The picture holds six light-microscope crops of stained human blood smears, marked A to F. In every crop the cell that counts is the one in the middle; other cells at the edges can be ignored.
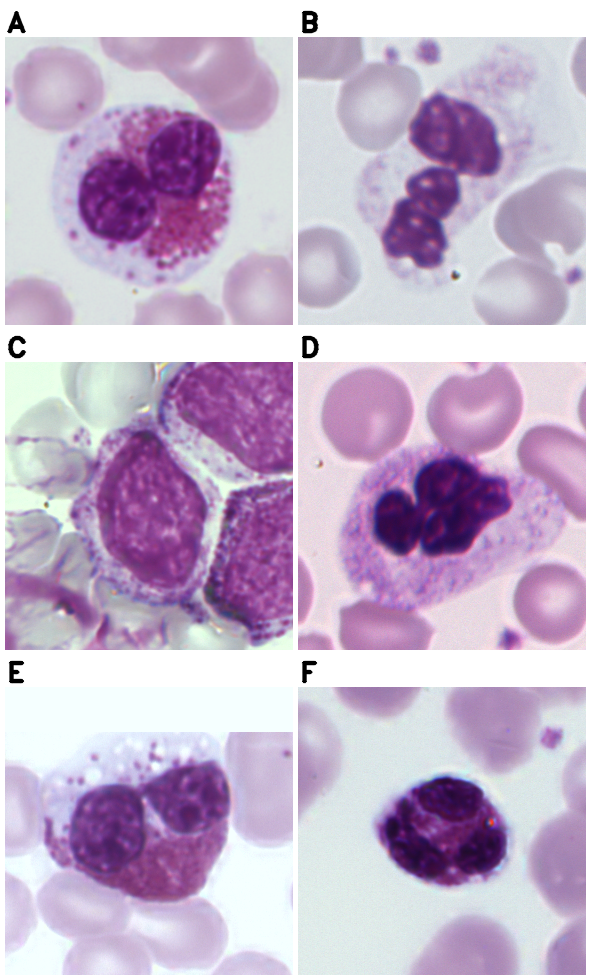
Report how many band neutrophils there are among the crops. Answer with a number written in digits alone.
0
